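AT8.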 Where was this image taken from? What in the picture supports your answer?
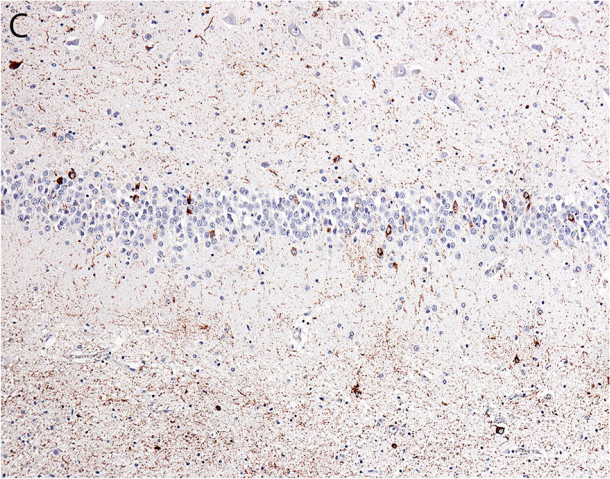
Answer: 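Dentate gyrus. Few brown-stained cells lie within and near the band.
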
